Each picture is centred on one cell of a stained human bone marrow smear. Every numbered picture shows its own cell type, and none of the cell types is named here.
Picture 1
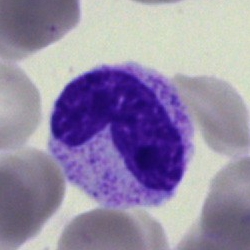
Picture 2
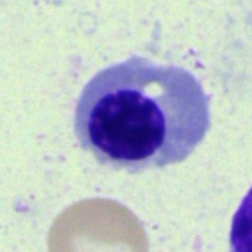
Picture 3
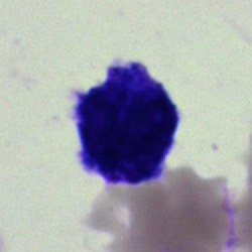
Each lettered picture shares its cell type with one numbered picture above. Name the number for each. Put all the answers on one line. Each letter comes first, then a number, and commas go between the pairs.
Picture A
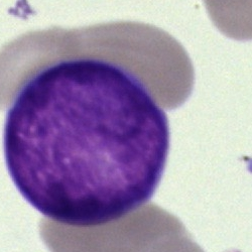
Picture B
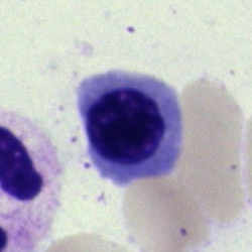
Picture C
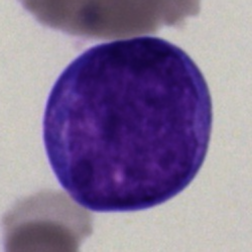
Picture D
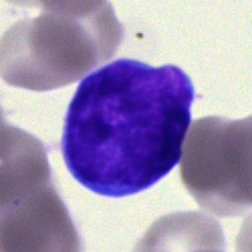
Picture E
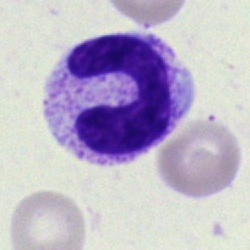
A 3, B 2, C 3, D 3, E 1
